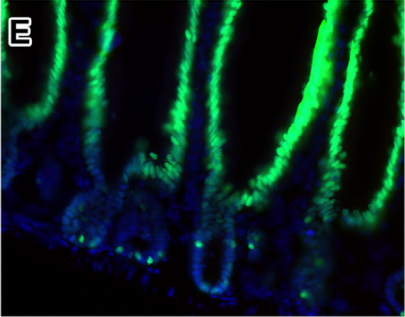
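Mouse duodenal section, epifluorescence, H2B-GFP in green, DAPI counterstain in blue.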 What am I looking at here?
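Intestinal villi are covered by epithelium whose nuclei glow bright green, while the crypts at their bases show mostly blue nuclei. A few scattered green nuclei remain within the crypts.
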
